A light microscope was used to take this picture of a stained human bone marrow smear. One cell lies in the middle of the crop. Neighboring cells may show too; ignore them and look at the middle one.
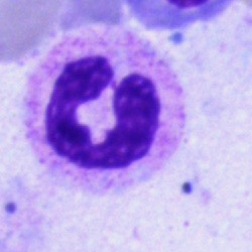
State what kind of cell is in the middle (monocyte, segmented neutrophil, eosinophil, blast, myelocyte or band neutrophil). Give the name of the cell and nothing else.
segmented neutrophil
